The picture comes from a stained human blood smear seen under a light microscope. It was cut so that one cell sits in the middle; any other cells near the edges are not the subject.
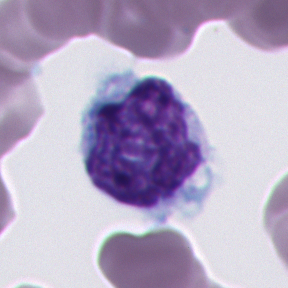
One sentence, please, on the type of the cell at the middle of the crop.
In this smear crop, the middle cell is a monocyte.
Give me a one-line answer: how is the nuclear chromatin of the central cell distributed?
The chromatin of this one is coarsely clumped.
